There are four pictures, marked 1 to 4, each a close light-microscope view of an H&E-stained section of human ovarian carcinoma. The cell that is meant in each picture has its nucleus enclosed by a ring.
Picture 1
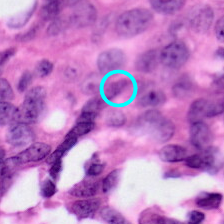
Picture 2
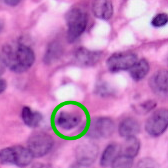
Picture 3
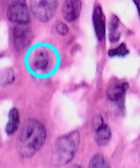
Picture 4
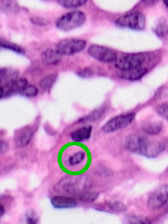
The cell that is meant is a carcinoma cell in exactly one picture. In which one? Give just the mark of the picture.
1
